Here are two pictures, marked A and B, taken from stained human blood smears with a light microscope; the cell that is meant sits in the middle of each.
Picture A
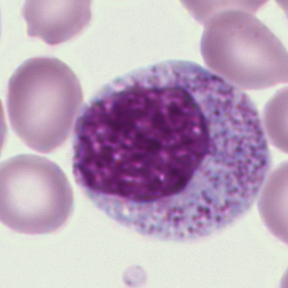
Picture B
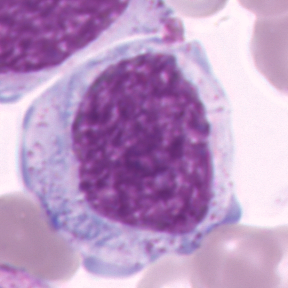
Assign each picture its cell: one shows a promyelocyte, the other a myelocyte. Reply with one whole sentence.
Picture A is of a myelocyte, and picture B is of a promyelocyte.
